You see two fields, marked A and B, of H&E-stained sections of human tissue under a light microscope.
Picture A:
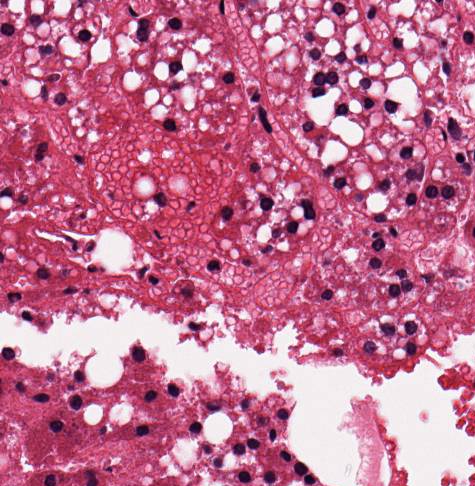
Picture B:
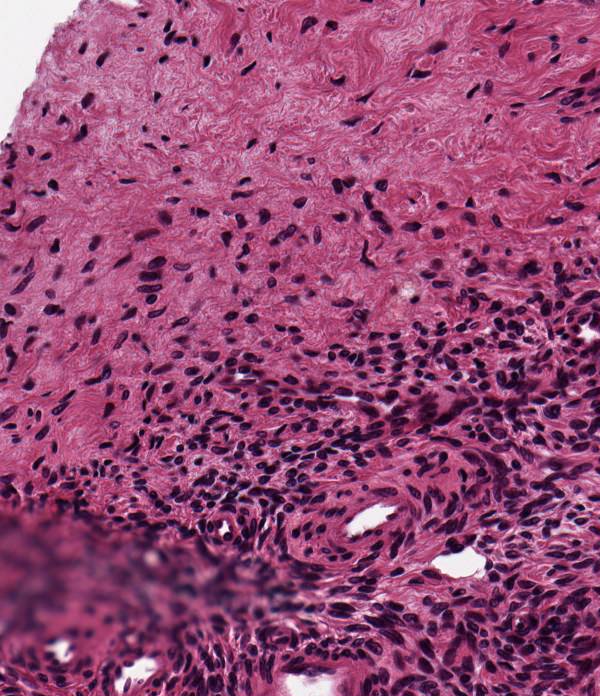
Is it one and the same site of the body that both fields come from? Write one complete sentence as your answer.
No, they differ: picture A comes from the adrenal gland, and picture B comes from the ovary.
